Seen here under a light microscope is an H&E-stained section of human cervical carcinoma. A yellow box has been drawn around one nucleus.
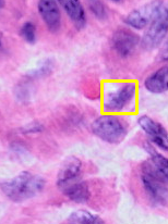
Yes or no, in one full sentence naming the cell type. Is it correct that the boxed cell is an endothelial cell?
Yes, the boxed cell is to be classified as an endothelial cell.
